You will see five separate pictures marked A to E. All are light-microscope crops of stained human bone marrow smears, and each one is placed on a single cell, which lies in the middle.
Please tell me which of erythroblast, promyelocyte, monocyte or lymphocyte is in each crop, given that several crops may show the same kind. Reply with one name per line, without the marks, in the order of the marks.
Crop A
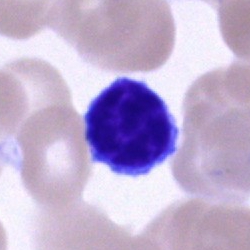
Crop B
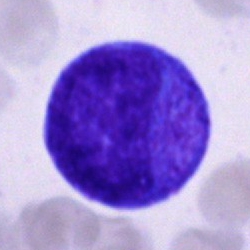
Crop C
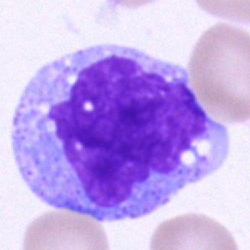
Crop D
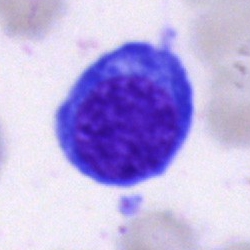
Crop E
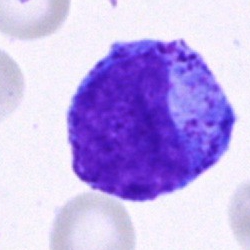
lymphocyte
promyelocyte
monocyte
erythroblast
promyelocyte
